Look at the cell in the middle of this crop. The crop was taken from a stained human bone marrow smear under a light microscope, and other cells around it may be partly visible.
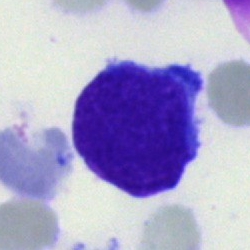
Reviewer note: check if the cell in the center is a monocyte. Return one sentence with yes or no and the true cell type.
No, the cell in the middle is recognised as a blast rather than a monocyte.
